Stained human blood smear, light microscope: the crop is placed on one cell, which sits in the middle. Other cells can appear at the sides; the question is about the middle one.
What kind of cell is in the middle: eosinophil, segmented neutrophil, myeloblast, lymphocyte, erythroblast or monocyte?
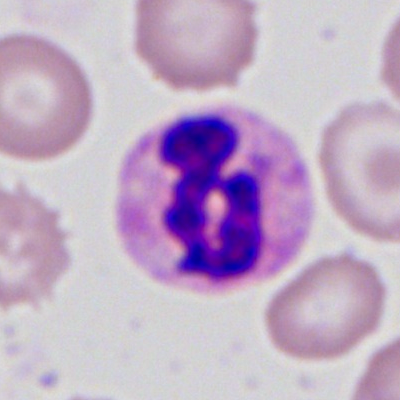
segmented neutrophil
